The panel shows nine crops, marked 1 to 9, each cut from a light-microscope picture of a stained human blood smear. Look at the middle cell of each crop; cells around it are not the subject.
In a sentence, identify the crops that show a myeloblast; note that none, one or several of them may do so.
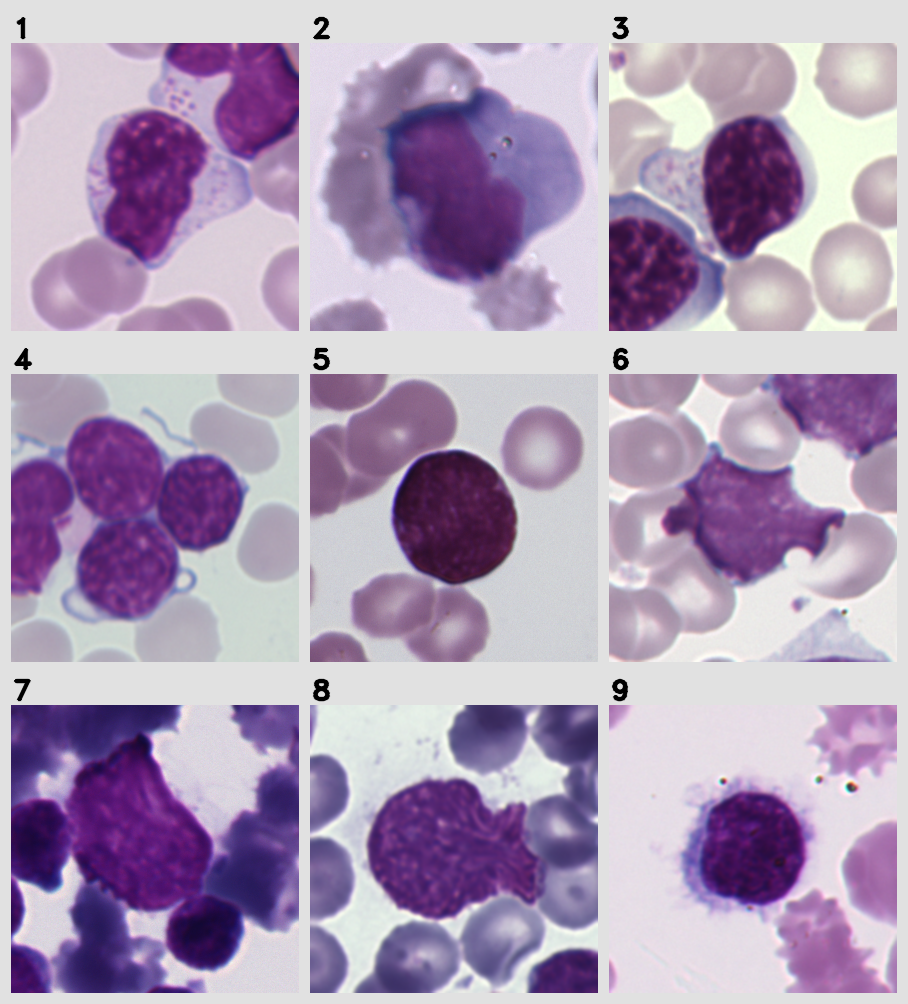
Those crops that show myeloblasts are 2, 4 and 5.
